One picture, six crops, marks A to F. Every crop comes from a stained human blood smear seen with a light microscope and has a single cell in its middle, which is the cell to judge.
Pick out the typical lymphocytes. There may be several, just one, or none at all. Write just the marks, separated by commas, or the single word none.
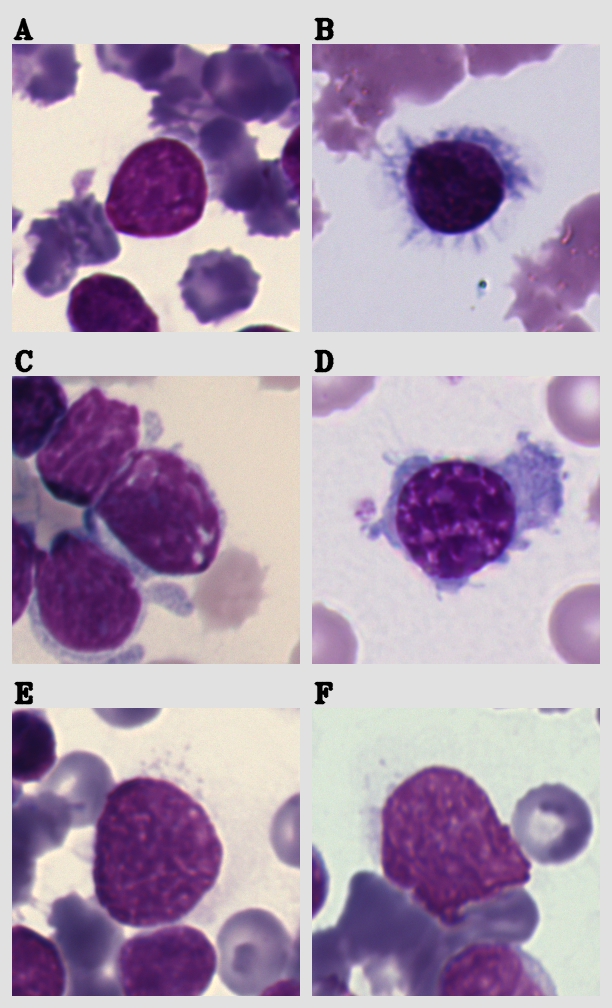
none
